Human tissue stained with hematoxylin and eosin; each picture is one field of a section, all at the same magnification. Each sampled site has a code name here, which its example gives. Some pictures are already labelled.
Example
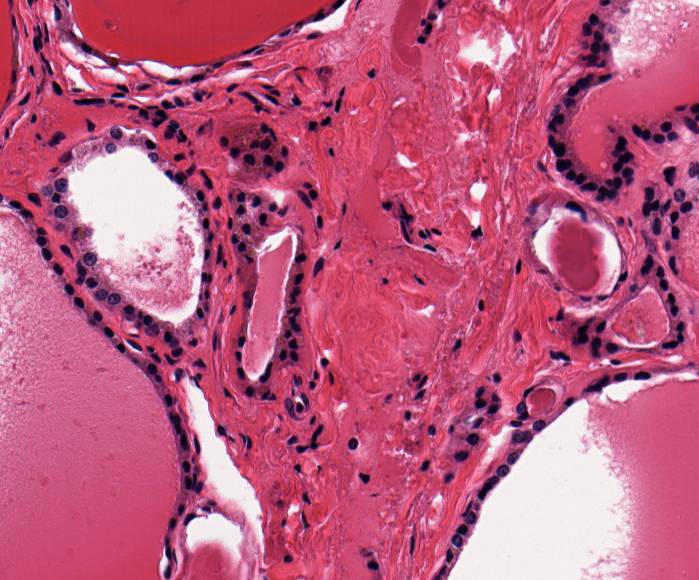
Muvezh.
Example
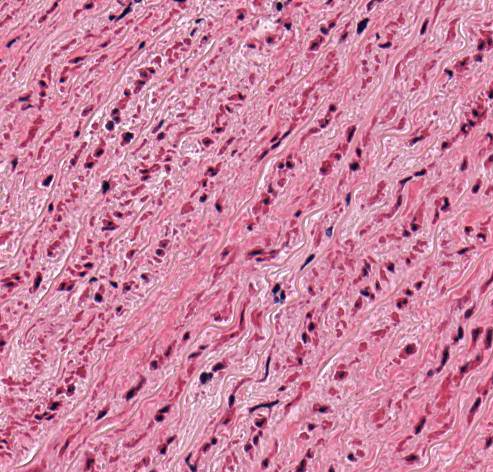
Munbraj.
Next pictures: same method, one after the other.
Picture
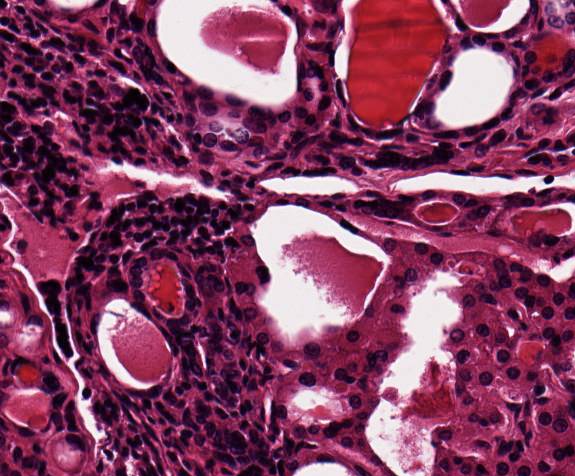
Muvezh.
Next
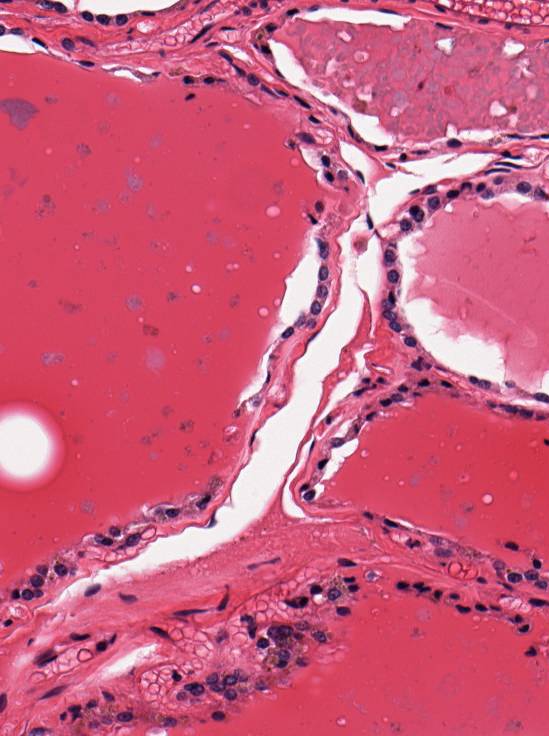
Muvezh.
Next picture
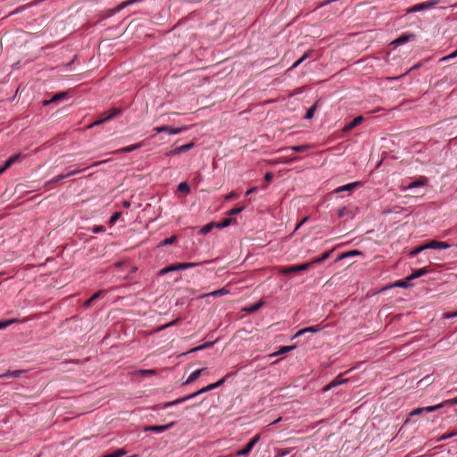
Munbraj.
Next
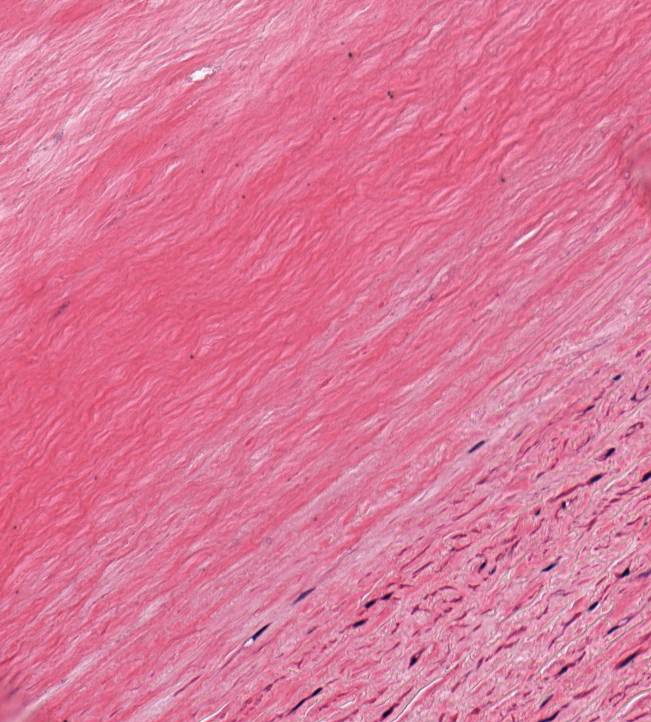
Munbraj.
